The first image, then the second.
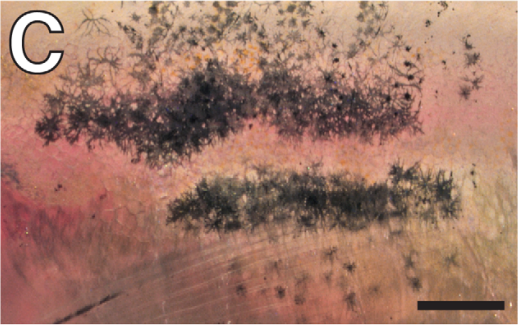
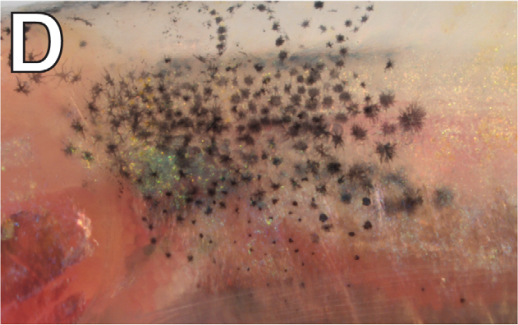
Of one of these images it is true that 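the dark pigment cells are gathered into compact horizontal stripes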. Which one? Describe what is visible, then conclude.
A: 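The first image. Second image: star-shaped dark cells are spread loosely over the field. First image: dark cells are packed into two dense horizontal bands with a paler band between.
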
